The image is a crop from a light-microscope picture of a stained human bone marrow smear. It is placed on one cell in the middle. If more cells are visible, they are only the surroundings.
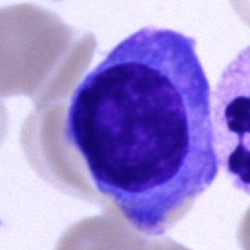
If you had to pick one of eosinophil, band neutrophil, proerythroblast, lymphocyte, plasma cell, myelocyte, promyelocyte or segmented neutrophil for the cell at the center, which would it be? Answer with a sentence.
The cell found in the middle of this crop is a plasma cell.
